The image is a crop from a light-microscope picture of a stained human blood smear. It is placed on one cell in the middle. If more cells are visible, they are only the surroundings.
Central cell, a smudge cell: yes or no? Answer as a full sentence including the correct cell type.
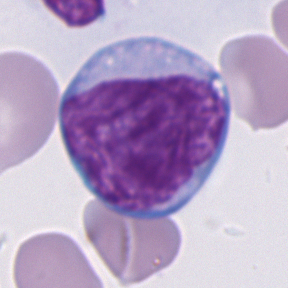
No, the cell in the middle of the crop counts as a myeloblast and not as a smudge cell.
